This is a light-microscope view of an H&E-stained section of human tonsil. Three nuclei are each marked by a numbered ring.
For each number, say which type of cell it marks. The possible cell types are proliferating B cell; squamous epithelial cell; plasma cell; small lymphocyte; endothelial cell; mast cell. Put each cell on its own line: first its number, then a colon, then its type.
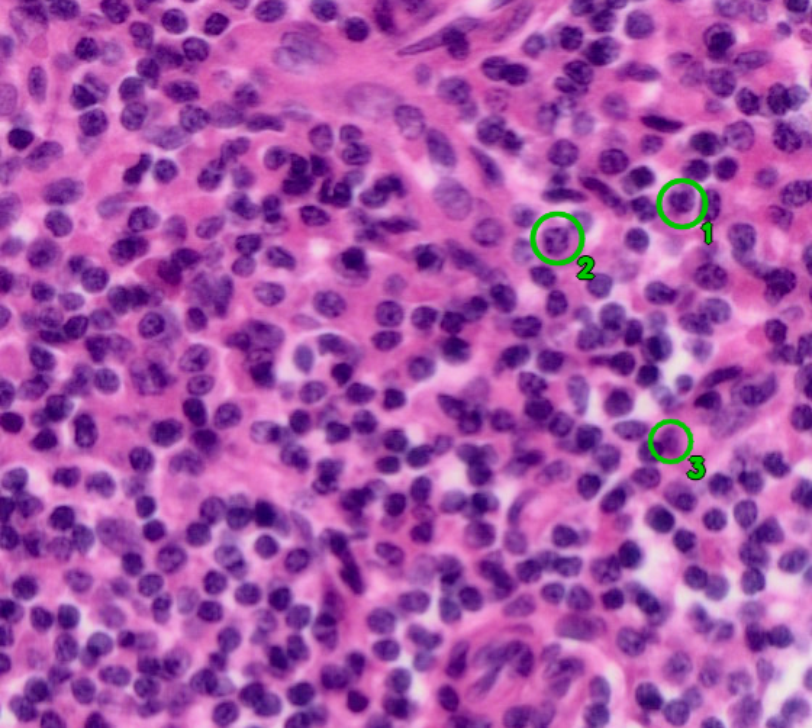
1: plasma cell
2: plasma cell
3: endothelial cell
